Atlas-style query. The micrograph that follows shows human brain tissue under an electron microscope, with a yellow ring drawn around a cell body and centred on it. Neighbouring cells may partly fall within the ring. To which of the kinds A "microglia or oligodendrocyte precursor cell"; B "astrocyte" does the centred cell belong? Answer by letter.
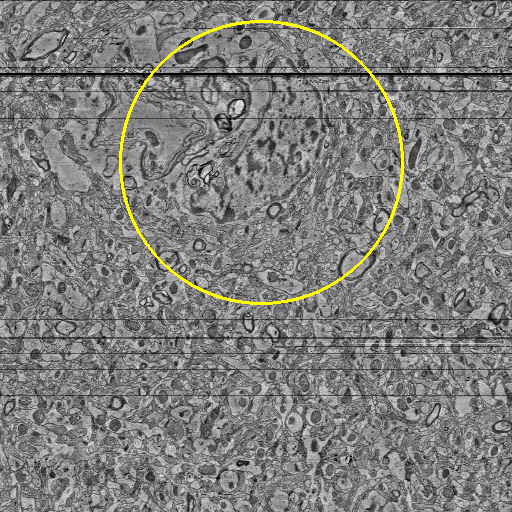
A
